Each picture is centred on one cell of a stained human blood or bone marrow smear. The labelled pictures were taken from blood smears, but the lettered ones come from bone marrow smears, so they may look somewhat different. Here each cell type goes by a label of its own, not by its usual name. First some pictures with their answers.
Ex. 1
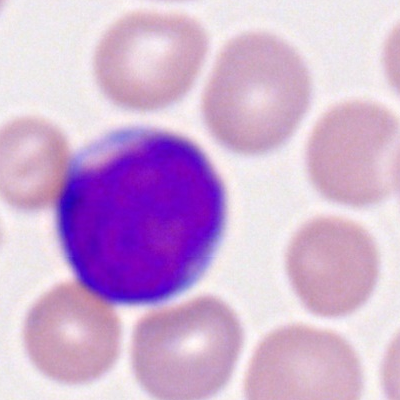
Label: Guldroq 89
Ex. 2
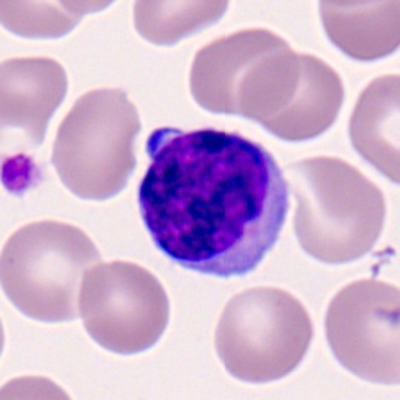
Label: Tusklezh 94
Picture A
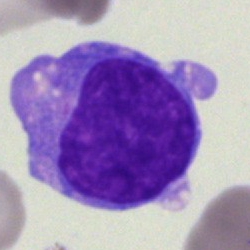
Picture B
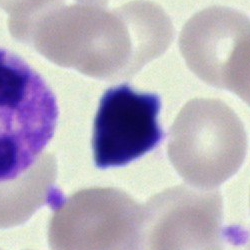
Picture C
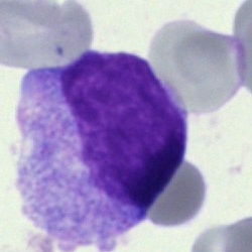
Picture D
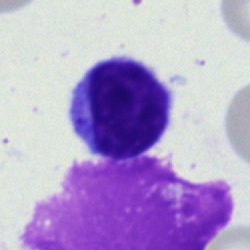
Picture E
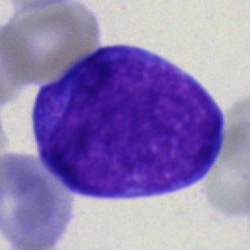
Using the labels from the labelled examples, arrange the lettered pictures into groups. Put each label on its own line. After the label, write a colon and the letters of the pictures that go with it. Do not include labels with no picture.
Guldroq 89: A, C, E
Tusklezh 94: B, D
